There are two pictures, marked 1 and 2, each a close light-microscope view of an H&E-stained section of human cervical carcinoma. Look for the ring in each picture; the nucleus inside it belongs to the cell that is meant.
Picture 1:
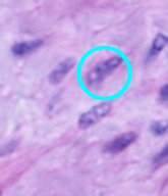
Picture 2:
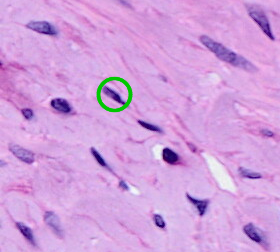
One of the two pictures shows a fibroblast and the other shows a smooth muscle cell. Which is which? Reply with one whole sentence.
The cell in picture 1 is a smooth muscle cell, and the one in picture 2 is a fibroblast.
